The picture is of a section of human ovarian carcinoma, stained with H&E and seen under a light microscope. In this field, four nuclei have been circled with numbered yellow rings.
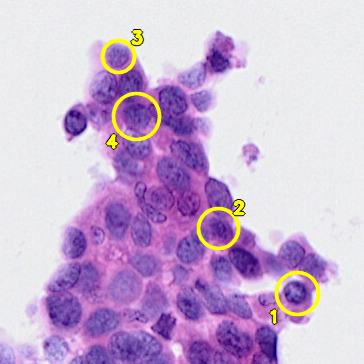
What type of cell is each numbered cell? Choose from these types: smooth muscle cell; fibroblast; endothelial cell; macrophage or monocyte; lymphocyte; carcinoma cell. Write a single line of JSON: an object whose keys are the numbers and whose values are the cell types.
{"1": "macrophage or monocyte", "2": "carcinoma cell", "3": "carcinoma cell", "4": "carcinoma cell"}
